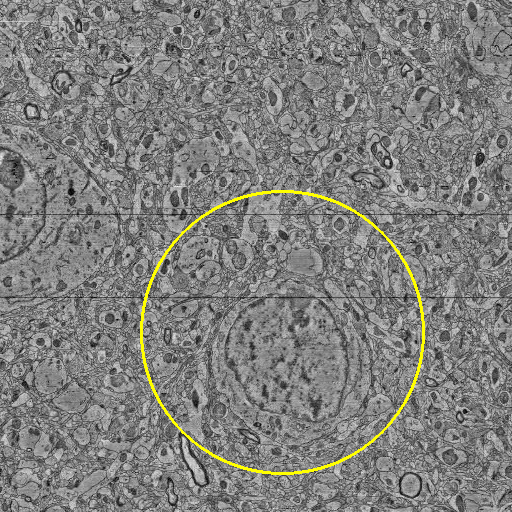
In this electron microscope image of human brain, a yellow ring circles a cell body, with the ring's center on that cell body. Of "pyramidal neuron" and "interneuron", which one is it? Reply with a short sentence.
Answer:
It is an interneuron at the center of the ring.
